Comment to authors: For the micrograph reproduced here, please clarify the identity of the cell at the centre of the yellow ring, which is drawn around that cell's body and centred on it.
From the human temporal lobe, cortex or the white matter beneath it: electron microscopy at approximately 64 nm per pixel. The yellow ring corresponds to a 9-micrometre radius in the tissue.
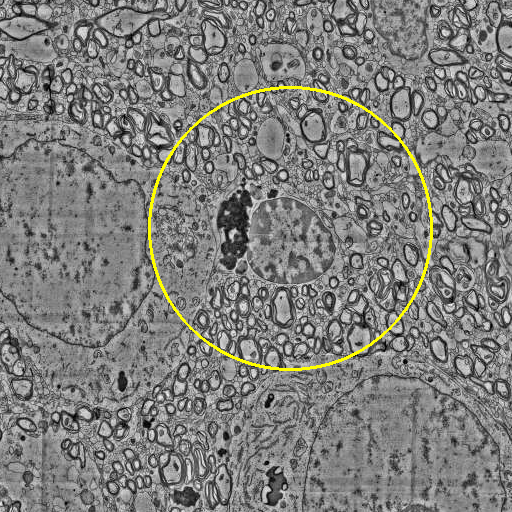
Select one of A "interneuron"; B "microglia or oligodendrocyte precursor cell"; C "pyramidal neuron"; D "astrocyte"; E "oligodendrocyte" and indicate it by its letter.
B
